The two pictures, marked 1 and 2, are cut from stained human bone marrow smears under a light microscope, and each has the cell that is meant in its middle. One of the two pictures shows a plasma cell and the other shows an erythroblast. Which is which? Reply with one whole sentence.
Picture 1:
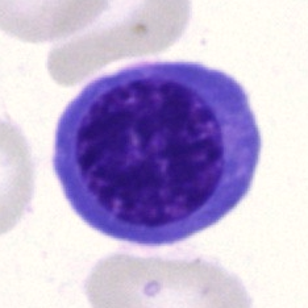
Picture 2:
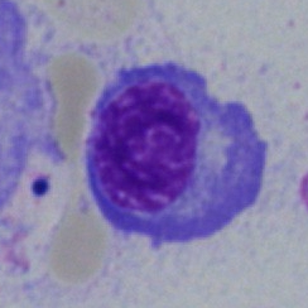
It is picture 1 that shows an erythroblast, and picture 2 that shows a plasma cell.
